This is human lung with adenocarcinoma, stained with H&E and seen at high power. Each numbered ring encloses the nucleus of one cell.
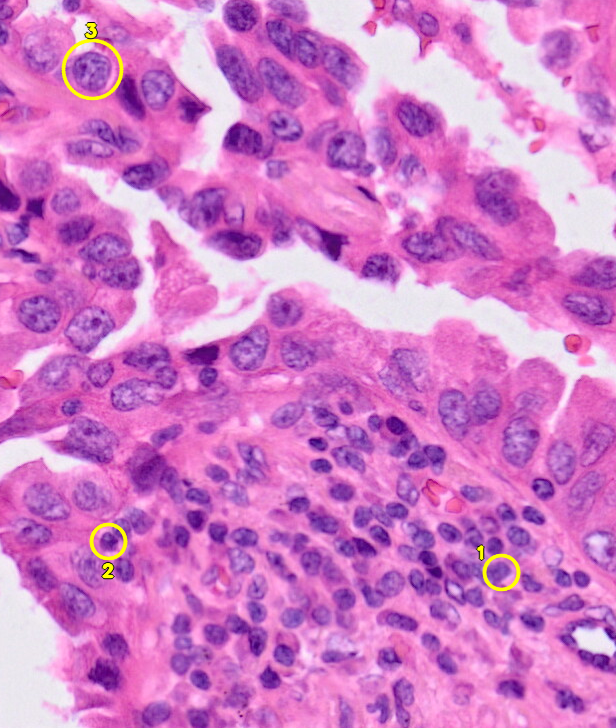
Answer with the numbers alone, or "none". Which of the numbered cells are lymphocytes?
1, 2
